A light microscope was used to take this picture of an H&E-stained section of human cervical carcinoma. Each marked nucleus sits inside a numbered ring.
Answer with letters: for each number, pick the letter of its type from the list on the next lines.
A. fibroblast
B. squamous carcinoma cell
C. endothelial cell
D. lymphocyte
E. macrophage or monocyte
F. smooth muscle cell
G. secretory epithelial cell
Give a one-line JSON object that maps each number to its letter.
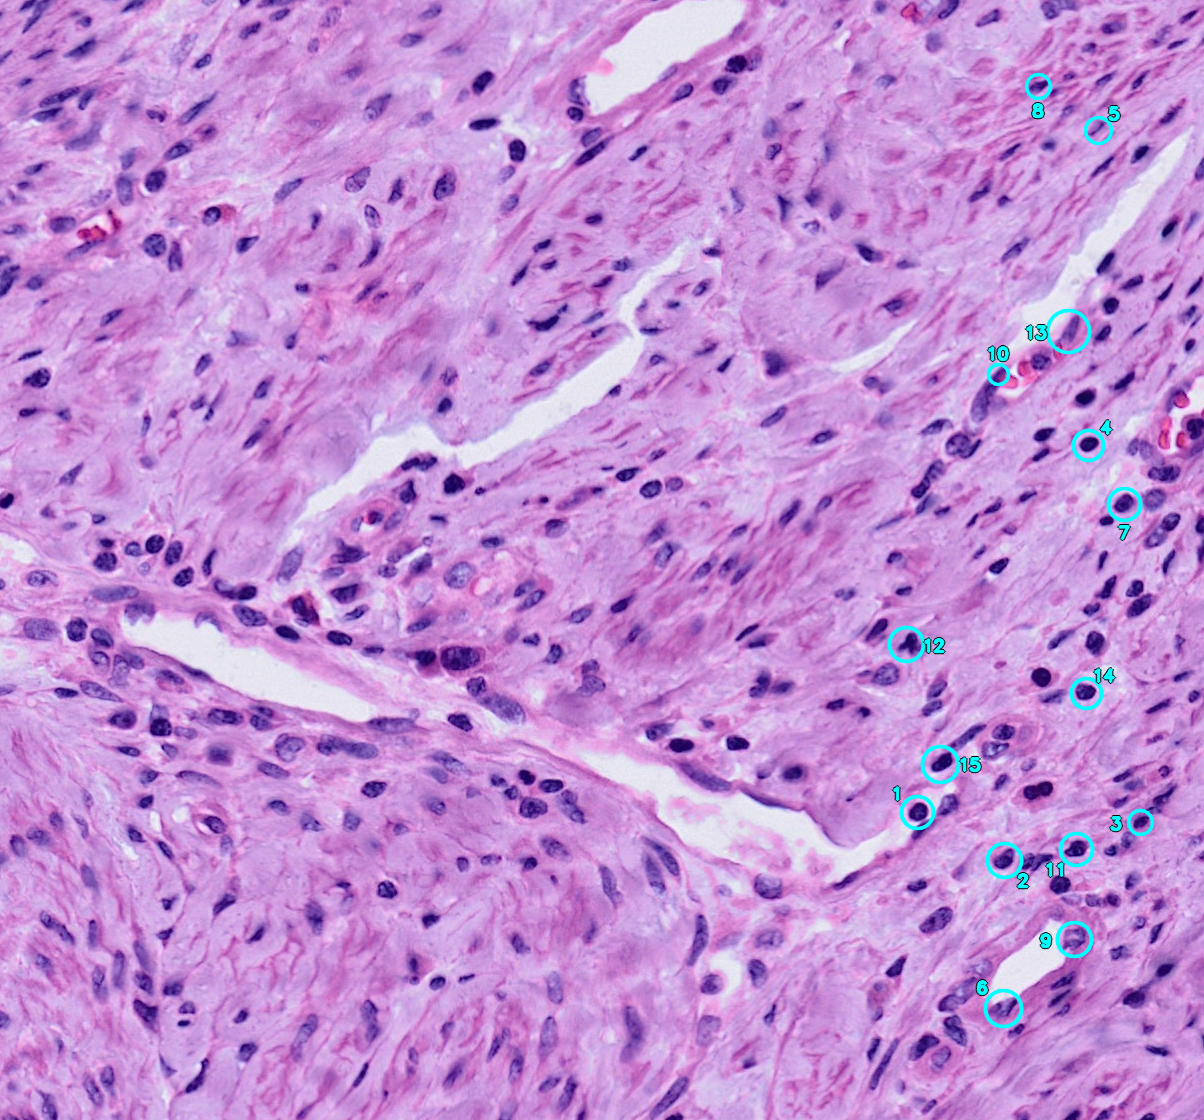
{"1": "D", "2": "D", "3": "F", "4": "D", "5": "F", "6": "C", "7": "D", "8": "F", "9": "C", "10": "C", "11": "D", "12": "D", "13": "C", "14": "D", "15": "D"}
